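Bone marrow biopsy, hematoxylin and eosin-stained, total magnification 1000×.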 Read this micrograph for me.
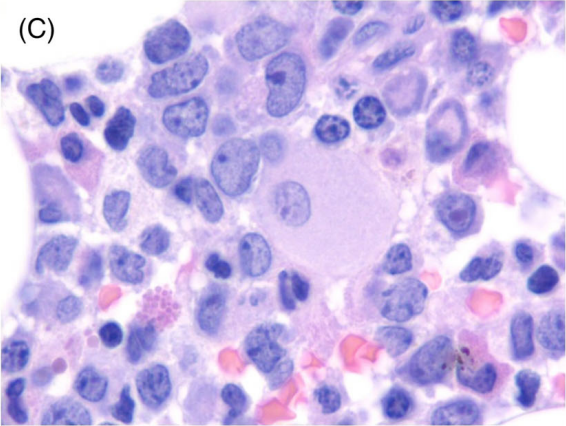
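Most cells are medium to large, with oval to irregular nuclei, several folded or indented, and pale, finely dispersed chromatin with small nucleoli; the cytoplasm is moderate and pale grey-lilac. Scattered among them are smaller cells with dark, compact nuclei. Near the centre lies a much larger cell with abundant pale pink cytoplasm and a single nucleus. A few red blood cells and a small cluster of granular material lie between the cells, and empty fat spaces border the field.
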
